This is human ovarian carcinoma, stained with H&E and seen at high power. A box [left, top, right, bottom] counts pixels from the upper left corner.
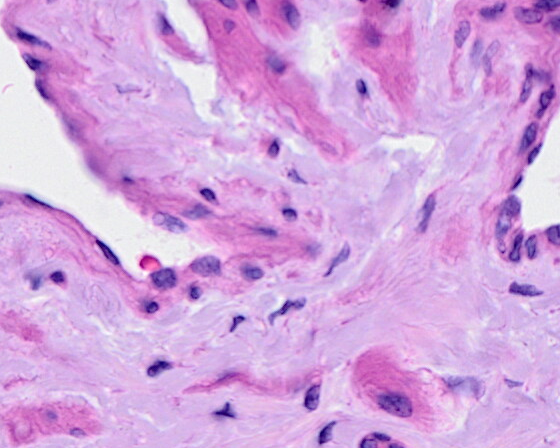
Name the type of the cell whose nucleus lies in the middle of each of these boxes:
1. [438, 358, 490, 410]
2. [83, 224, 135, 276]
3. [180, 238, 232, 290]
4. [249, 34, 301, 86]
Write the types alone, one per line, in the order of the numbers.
fibroblast
endothelial cell
endothelial cell
smooth muscle cell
